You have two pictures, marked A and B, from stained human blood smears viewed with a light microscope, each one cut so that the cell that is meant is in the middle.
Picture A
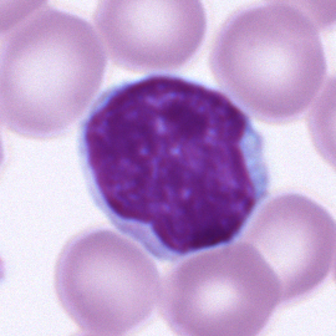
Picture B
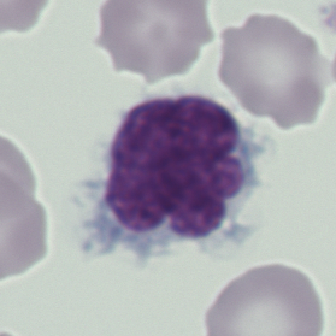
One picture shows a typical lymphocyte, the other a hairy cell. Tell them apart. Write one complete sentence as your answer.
The cell in picture A is a typical lymphocyte, and the one in picture B is a hairy cell.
